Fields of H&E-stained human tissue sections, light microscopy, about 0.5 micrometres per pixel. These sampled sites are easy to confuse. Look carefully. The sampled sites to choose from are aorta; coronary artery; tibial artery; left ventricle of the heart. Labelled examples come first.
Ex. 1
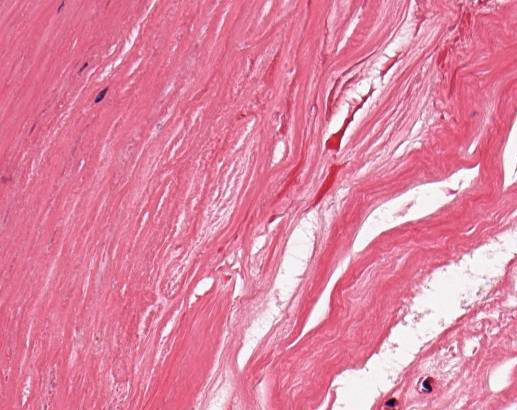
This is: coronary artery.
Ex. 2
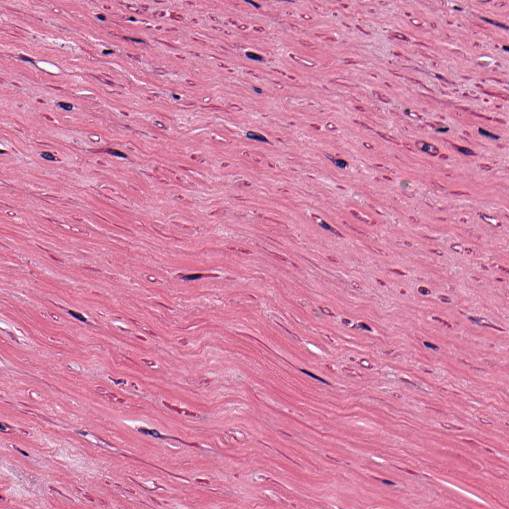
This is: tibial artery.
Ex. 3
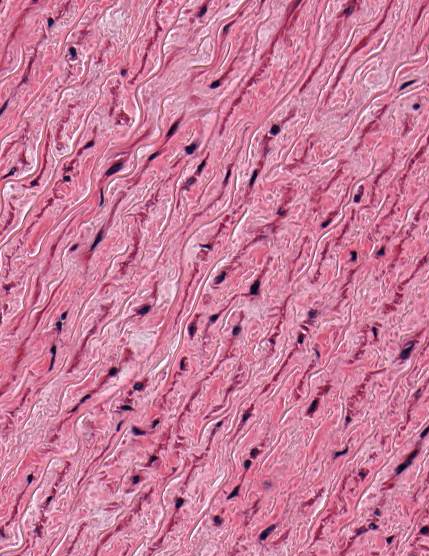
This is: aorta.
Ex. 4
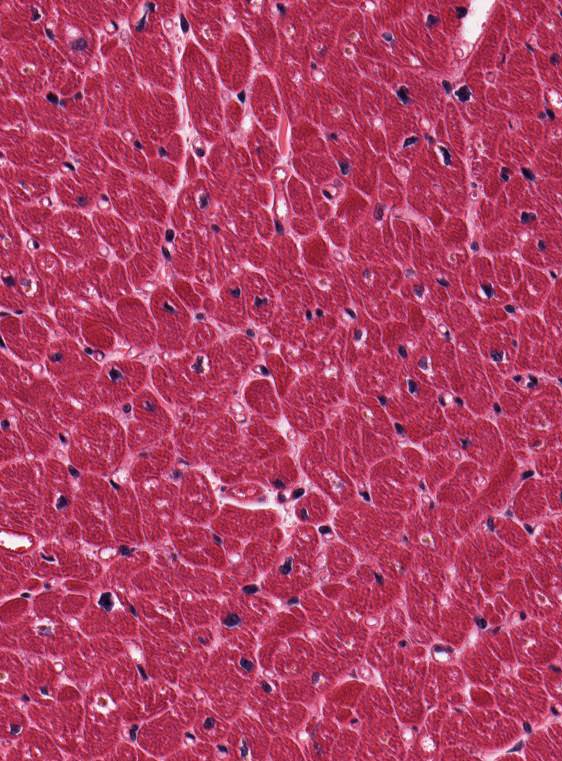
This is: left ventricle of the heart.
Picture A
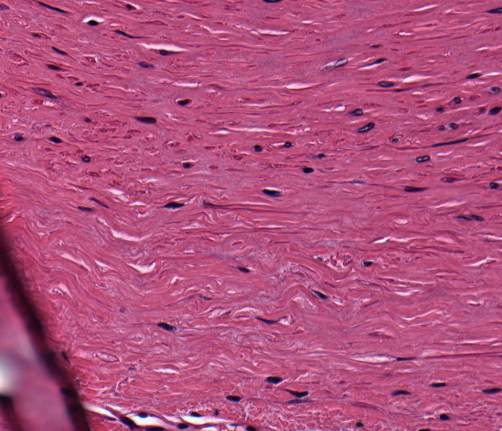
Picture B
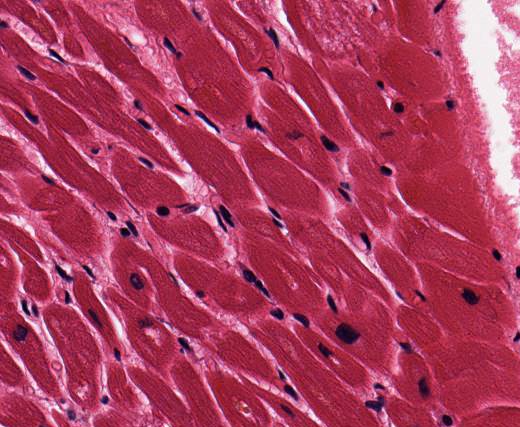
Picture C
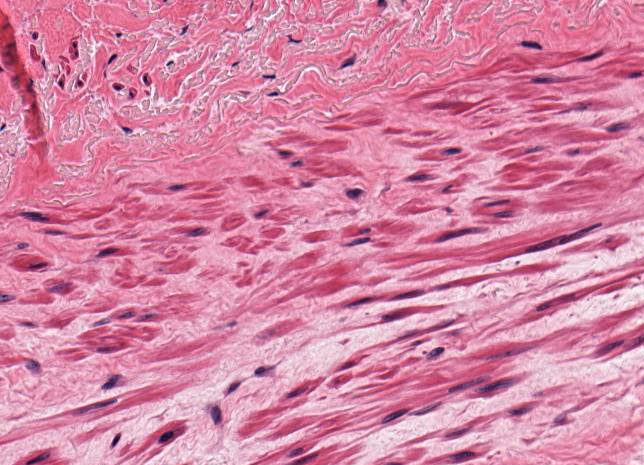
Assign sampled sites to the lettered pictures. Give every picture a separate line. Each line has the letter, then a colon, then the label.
A: coronary artery.
B: left ventricle of the heart.
C: tibial artery.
